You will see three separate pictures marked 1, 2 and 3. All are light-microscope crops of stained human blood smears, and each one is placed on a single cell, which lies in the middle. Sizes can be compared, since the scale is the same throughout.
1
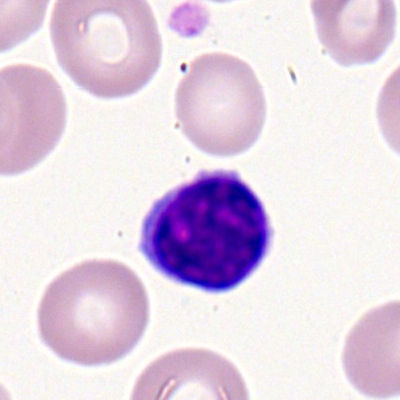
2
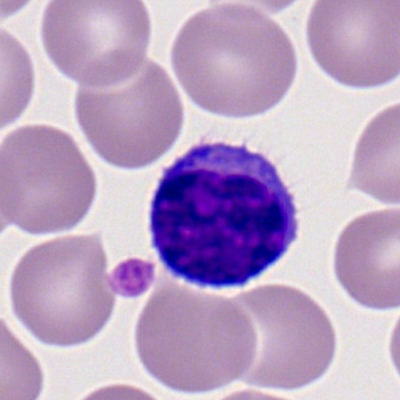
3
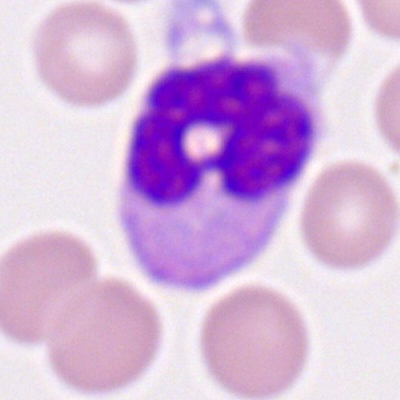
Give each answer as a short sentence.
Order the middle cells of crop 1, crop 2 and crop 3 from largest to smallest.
From the largest down, the order is 3, 2, 1.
